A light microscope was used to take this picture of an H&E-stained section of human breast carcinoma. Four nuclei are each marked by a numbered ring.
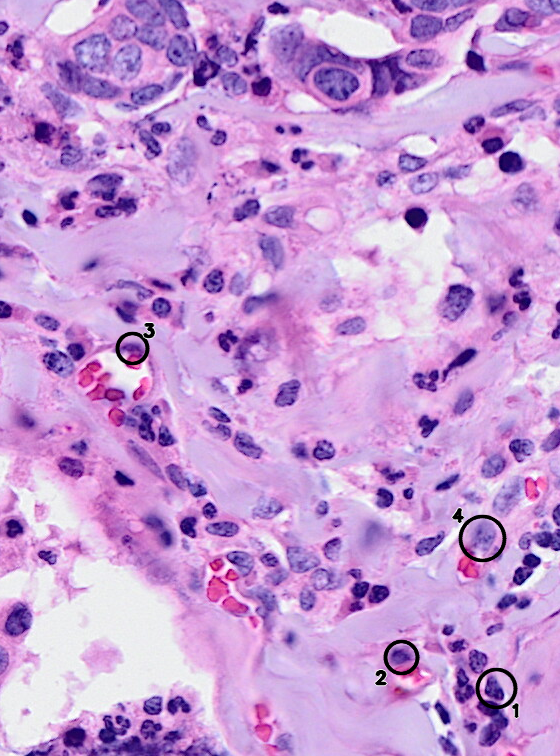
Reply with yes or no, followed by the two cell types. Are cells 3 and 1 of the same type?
No, cell 3 is an endothelial cell; cell 1 is a lymphocyte.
